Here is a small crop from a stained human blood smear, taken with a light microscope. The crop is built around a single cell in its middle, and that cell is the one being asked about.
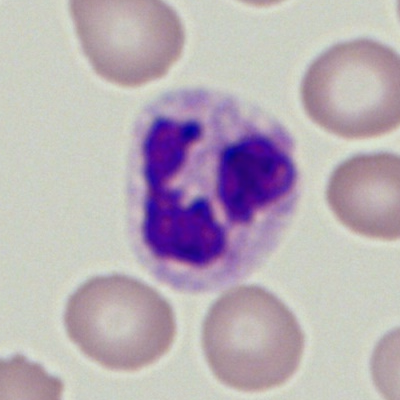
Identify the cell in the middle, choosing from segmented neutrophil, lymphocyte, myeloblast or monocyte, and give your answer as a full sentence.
The cell shown in the center of this light-microscope crop is a segmented neutrophil.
